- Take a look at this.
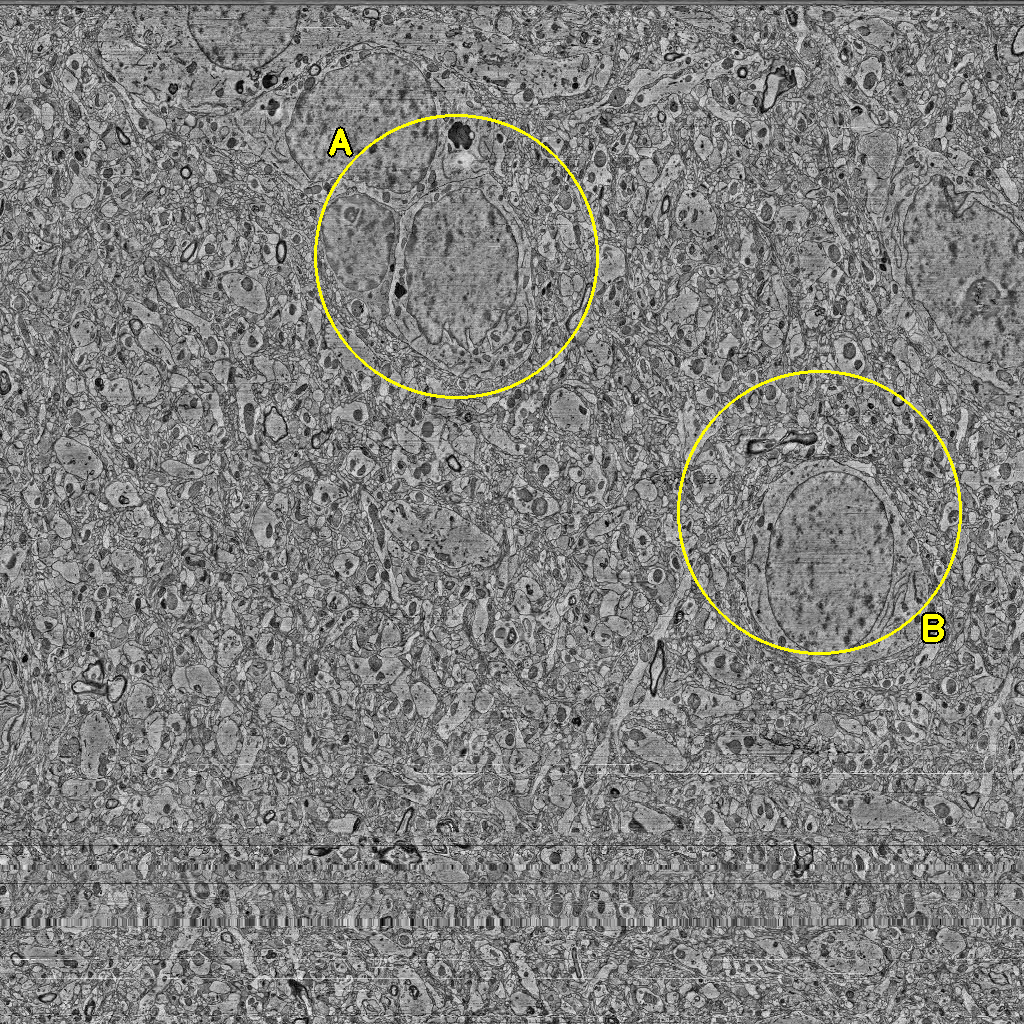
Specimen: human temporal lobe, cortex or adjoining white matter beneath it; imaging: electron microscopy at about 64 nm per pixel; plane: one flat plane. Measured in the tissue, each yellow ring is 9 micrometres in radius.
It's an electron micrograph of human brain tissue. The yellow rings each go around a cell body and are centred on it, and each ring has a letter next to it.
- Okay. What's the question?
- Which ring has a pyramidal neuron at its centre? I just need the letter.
B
